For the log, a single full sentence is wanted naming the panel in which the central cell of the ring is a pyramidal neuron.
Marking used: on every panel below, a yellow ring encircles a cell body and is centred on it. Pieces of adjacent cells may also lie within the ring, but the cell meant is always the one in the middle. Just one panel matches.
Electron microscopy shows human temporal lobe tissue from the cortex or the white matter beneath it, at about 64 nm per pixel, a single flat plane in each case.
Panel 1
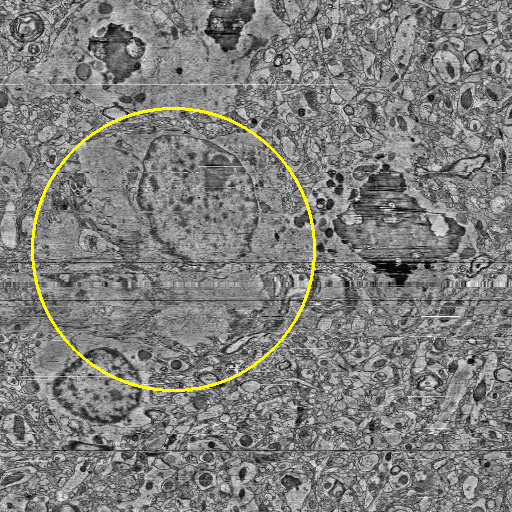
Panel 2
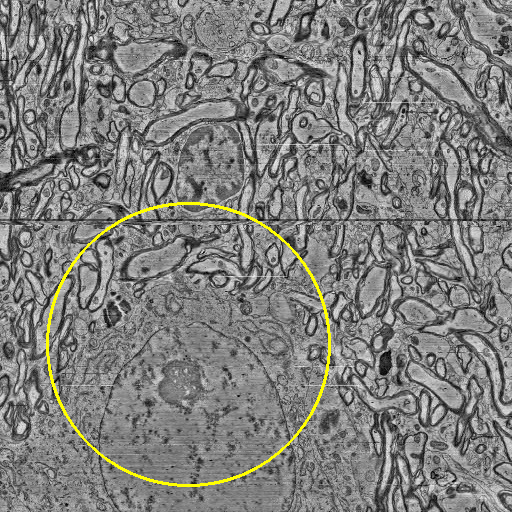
The cell in the middle of the ring in panel 2 is the one asked for.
